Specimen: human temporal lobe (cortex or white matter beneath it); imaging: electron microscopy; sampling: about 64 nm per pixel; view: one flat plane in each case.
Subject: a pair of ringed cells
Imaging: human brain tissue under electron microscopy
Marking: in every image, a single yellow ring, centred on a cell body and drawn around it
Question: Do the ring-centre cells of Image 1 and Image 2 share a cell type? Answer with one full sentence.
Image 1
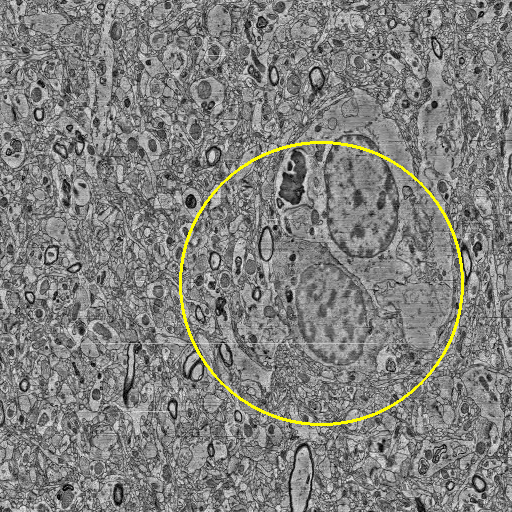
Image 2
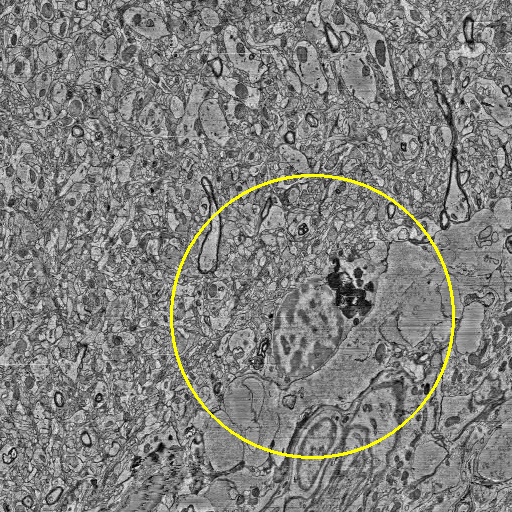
Yes, at each ring's centre in the images sits a cell of one common type.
